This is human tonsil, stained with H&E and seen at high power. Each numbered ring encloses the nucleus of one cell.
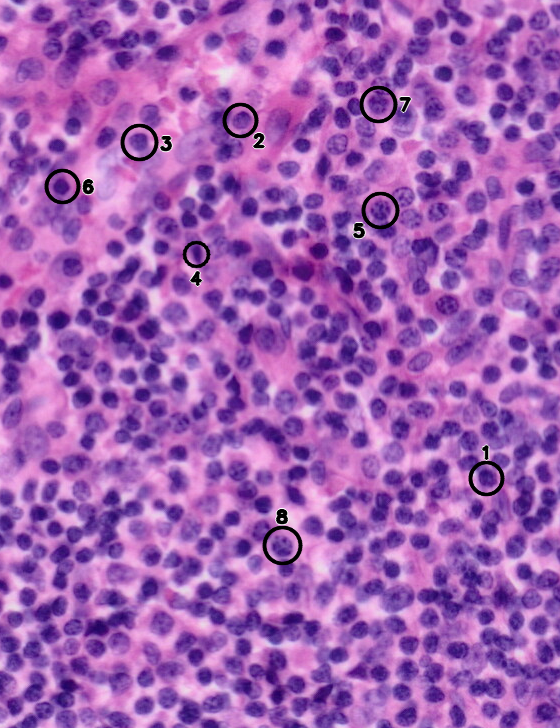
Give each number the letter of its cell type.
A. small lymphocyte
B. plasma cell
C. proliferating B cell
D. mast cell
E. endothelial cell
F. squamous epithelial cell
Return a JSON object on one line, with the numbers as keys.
{"1": "A", "2": "E", "3": "E", "4": "E", "5": "B", "6": "E", "7": "B", "8": "B"}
